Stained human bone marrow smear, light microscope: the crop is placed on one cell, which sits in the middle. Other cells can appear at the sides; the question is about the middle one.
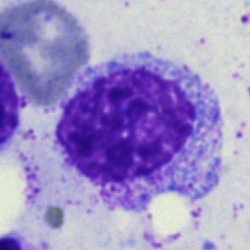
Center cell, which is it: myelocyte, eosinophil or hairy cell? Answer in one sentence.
The cell at the middle of the frame should be recorded as a myelocyte.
